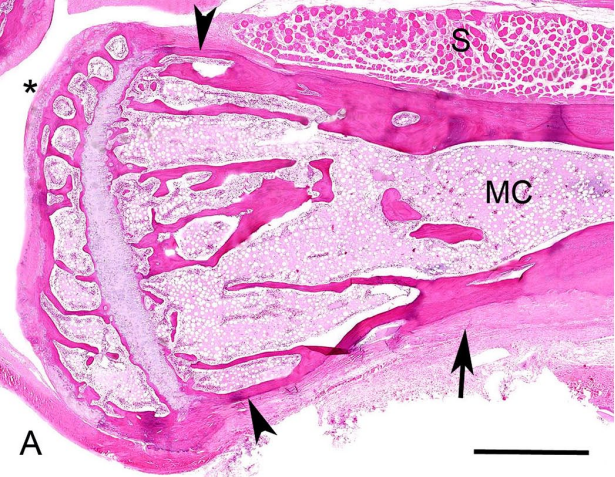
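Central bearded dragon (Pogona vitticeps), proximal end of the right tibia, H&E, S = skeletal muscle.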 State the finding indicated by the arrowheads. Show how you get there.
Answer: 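At the arrowheads the pink outer bone shell is a narrow band. Elsewhere the same shell is much thicker. So: severely thinned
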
